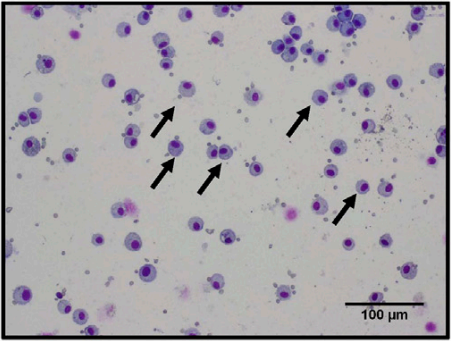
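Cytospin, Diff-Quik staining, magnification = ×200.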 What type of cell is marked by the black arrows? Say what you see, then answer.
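Macrophages. Each arrowed cell has a single round purple nucleus. The nucleus lies within pale bluish cytoplasm.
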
